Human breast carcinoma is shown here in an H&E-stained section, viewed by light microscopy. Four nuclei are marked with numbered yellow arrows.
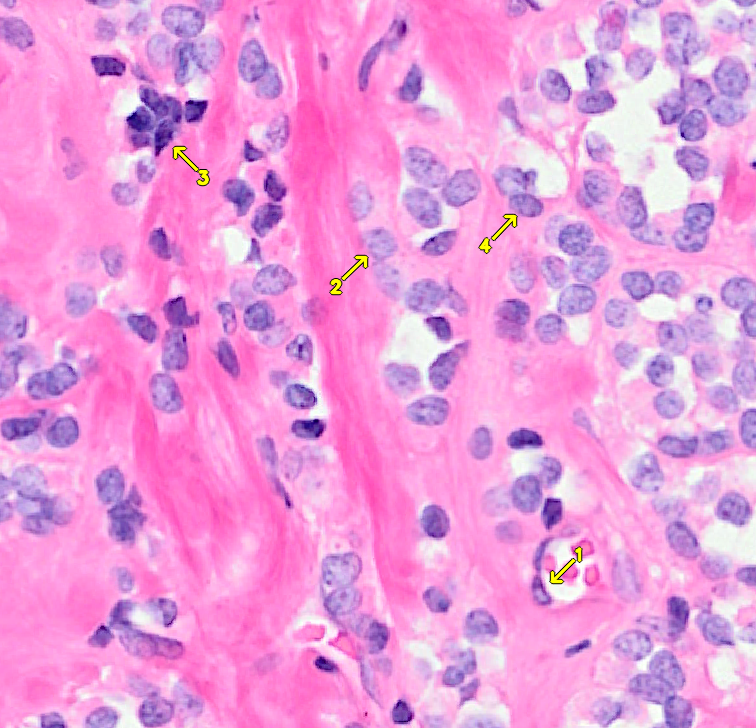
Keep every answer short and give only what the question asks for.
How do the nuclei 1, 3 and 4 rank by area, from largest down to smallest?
4, 3, 1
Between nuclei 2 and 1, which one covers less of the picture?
1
